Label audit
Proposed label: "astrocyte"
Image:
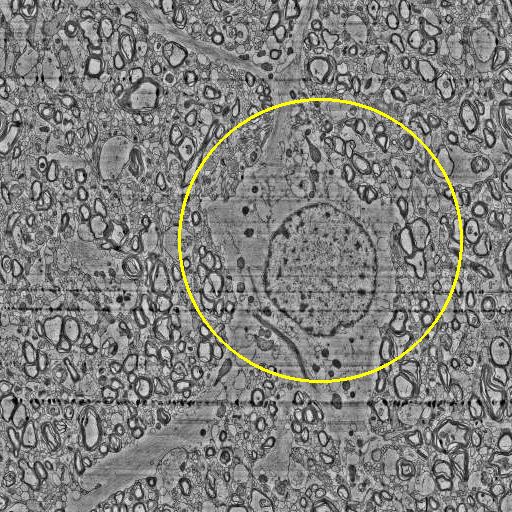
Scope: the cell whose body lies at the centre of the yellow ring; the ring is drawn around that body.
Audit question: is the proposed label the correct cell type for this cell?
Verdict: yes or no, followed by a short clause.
Yes, the label fits this cell.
